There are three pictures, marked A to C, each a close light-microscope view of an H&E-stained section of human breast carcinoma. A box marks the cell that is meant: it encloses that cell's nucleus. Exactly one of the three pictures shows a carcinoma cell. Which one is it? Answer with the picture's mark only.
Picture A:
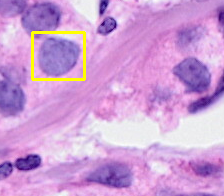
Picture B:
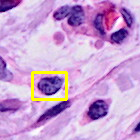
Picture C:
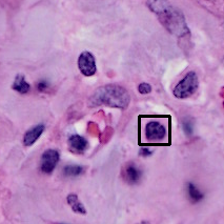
A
